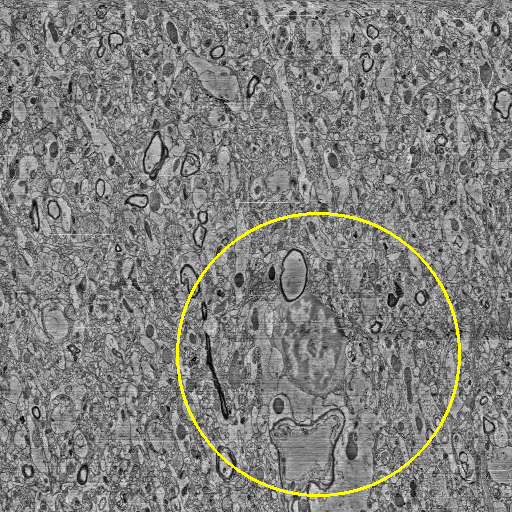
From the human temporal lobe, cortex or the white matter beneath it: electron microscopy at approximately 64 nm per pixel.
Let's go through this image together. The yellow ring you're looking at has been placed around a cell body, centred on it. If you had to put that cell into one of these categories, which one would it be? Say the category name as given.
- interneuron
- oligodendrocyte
oligodendrocyte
